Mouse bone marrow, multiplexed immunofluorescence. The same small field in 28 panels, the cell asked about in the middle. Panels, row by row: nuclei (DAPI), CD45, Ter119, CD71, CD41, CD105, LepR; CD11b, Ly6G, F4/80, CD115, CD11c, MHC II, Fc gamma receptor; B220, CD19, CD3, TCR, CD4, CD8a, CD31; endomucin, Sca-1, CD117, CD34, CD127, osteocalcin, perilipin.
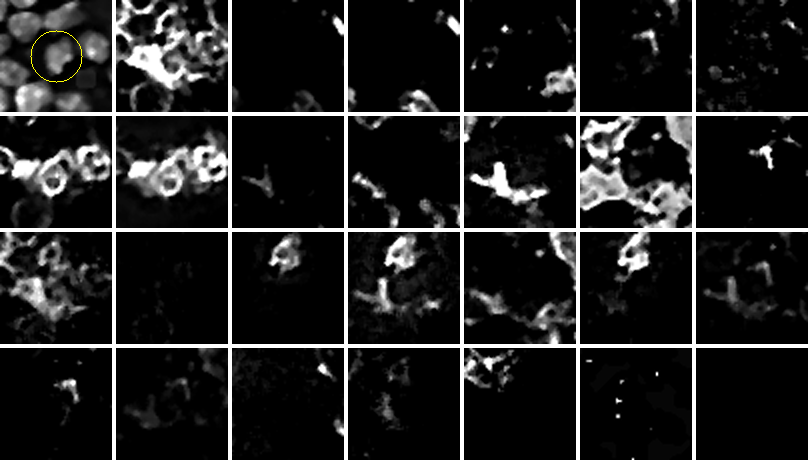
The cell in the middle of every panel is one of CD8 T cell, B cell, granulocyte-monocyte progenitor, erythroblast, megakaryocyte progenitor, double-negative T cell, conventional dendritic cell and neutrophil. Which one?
neutrophil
